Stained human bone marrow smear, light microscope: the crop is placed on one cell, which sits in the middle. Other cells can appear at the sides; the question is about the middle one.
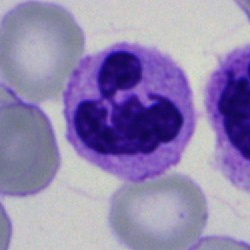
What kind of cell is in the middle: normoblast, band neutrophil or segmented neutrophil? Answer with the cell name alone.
segmented neutrophil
